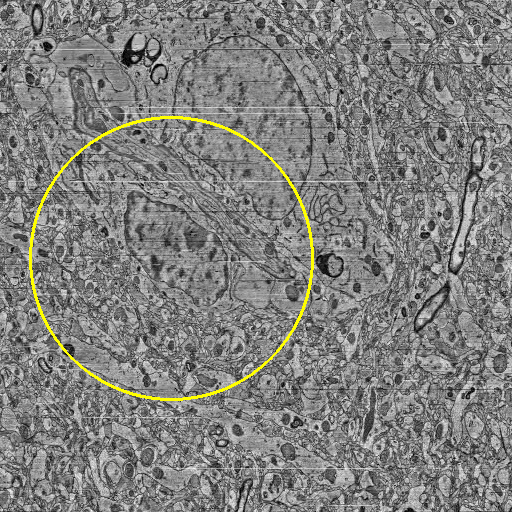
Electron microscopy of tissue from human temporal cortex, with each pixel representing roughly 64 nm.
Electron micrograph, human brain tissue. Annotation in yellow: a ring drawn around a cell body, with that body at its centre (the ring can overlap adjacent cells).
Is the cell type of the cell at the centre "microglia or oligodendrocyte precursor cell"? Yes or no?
Yes, it is of that type.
